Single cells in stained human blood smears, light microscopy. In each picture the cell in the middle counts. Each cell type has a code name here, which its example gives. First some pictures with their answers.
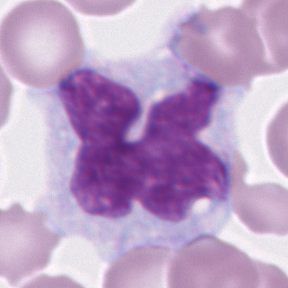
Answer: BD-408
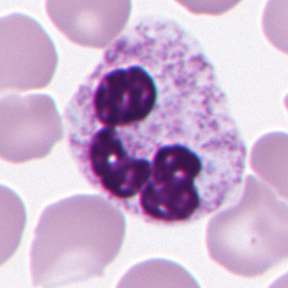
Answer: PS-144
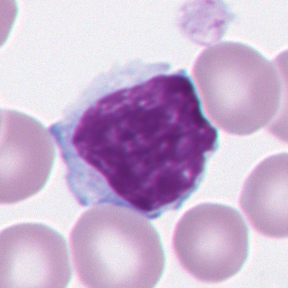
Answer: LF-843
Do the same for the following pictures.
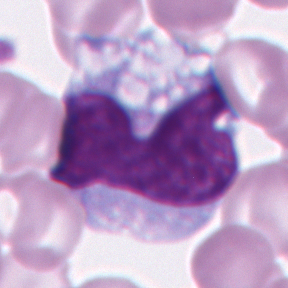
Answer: BD-408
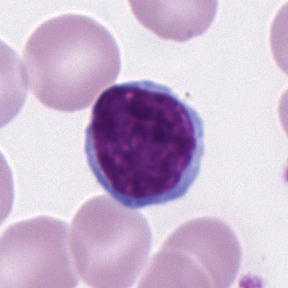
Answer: LF-843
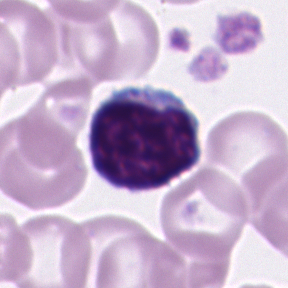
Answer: LF-843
